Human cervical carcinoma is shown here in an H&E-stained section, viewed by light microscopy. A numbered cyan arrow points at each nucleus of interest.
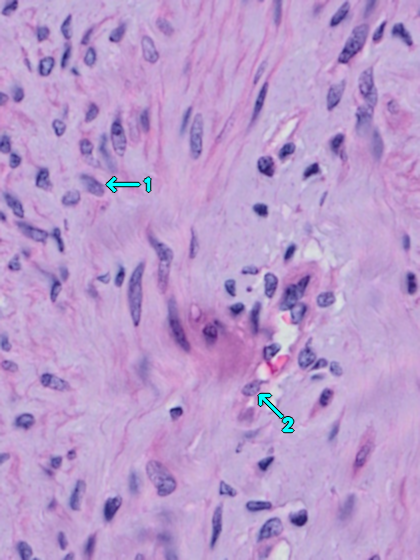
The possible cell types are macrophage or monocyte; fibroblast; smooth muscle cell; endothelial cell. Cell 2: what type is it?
endothelial cell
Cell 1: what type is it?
smooth muscle cell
